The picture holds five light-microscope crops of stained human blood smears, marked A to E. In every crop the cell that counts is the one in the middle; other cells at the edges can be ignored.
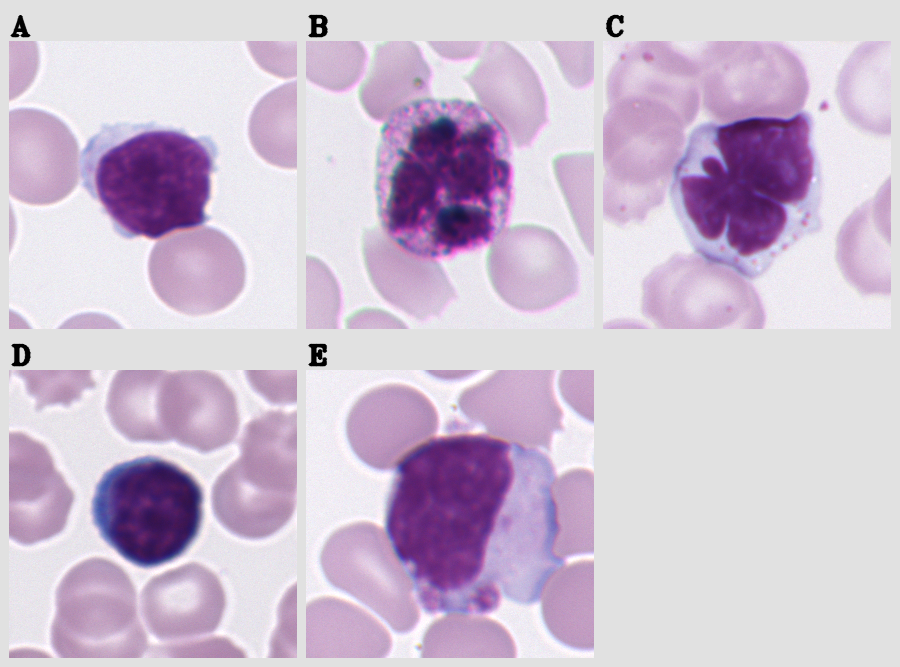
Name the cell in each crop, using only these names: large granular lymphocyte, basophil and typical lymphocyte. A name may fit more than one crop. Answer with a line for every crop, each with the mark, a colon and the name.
A: typical lymphocyte
B: basophil
C: large granular lymphocyte
D: typical lymphocyte
E: large granular lymphocyte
